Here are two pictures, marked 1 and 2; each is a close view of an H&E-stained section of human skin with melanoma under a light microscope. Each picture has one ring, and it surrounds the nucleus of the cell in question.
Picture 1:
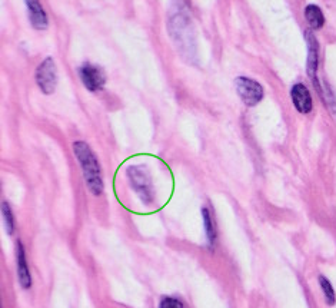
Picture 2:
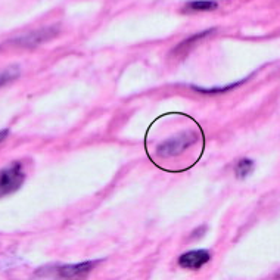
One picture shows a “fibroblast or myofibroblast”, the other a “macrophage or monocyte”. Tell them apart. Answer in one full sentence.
Picture 1 shows a “fibroblast or myofibroblast” and picture 2 shows a “macrophage or monocyte”.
